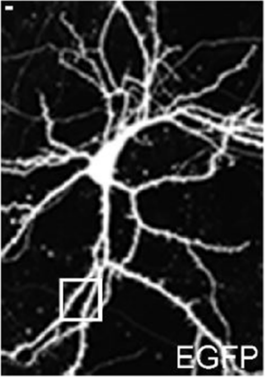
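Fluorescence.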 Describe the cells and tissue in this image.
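A single cultured neuron fills the field, shown in white on a black background. From a central cell body several thick processes radiate and branch repeatedly into long, tapering dendrites that spread across the field, with finer, fainter processes in the background. A small square box marks a stretch of one branching dendrite in the lower left.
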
